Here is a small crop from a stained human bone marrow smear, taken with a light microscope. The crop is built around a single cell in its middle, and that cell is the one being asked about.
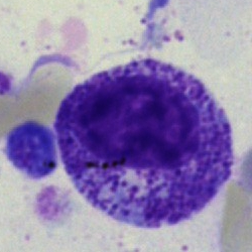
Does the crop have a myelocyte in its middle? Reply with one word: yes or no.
yes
